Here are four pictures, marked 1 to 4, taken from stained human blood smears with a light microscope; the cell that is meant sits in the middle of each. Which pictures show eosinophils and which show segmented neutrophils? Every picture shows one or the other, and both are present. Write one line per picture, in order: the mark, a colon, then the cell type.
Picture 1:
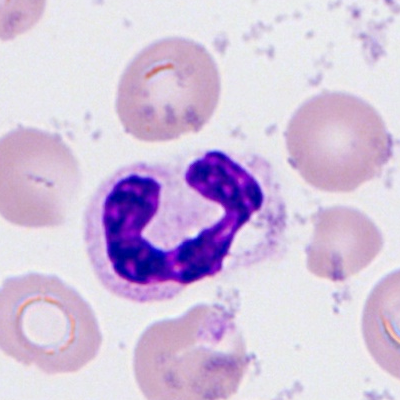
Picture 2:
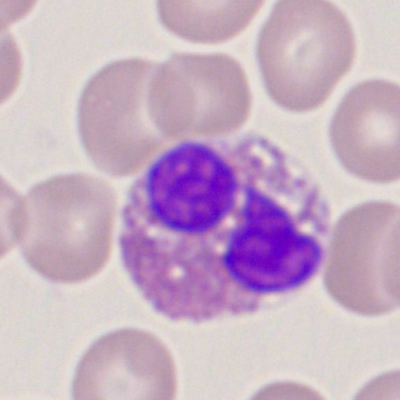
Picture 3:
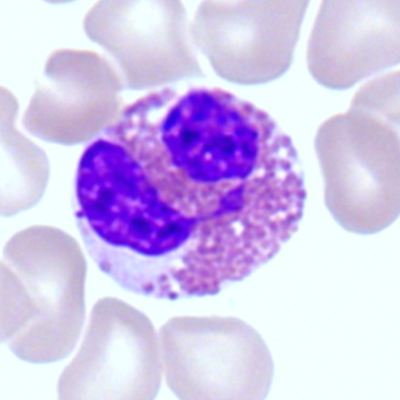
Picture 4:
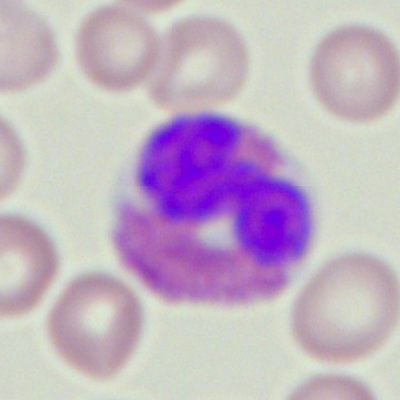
1: segmented neutrophil
2: eosinophil
3: eosinophil
4: eosinophil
